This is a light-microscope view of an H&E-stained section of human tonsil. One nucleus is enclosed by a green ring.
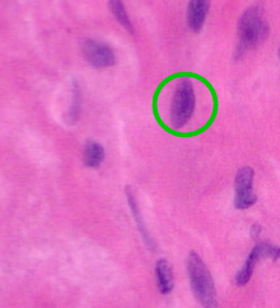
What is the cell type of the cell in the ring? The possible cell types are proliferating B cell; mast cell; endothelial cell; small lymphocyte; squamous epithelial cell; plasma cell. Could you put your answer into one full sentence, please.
In this tissue sample, the cell in the ring is an endothelial cell.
